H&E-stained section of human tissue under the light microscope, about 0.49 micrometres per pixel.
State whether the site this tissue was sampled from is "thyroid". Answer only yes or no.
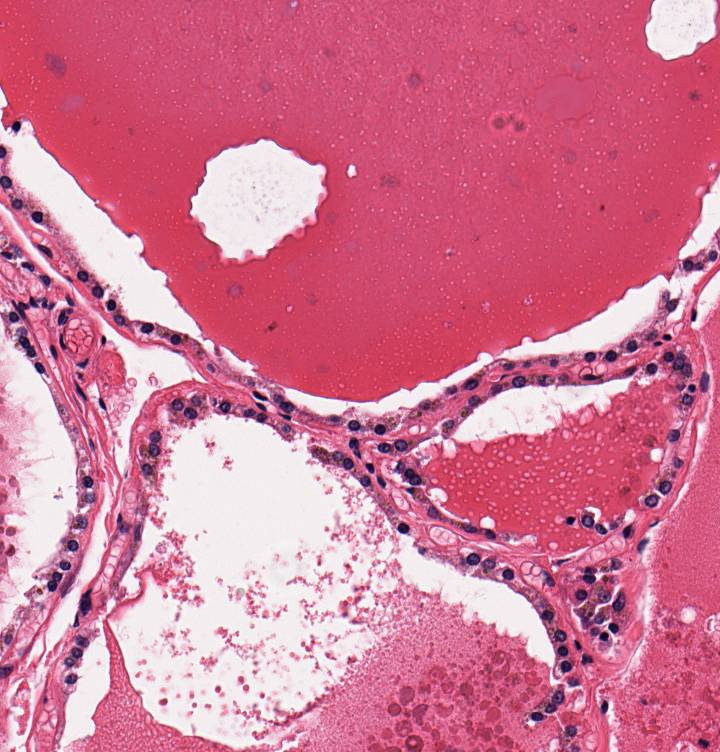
yes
